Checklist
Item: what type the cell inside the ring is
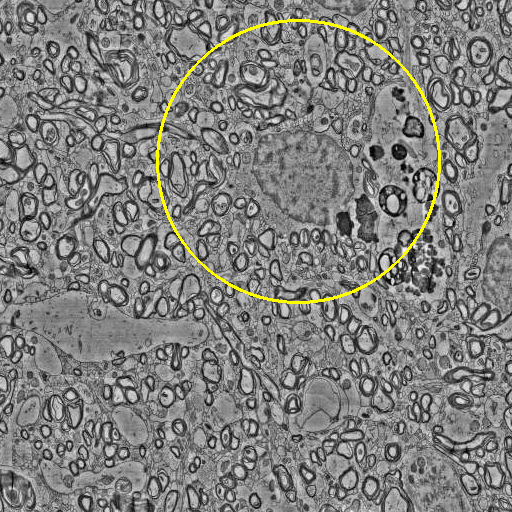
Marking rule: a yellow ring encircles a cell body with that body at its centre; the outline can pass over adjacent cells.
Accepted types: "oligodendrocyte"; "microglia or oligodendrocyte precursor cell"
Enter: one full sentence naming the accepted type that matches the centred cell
The entry is that an oligodendrocyte lies at the centre of the yellow ring.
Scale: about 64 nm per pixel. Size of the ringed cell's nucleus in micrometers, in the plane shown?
Roughly 7 micrometres by 6 micrometres, in this plane.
